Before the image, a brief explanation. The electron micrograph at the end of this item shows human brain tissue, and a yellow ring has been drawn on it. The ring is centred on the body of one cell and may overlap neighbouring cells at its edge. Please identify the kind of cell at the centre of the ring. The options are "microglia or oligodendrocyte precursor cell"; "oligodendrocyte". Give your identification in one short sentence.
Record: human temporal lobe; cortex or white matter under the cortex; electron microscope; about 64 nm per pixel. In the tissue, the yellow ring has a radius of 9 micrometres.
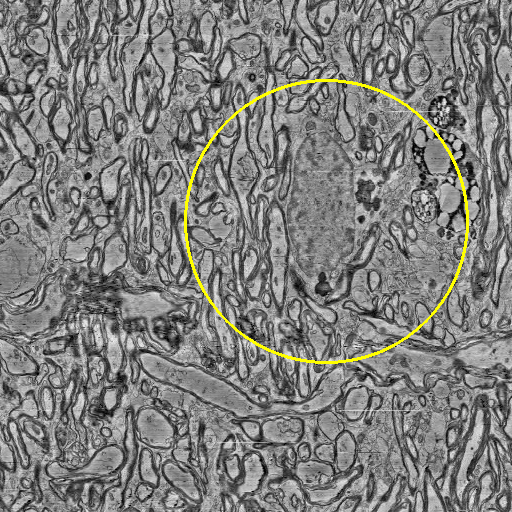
The ring has been placed around an oligodendrocyte.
